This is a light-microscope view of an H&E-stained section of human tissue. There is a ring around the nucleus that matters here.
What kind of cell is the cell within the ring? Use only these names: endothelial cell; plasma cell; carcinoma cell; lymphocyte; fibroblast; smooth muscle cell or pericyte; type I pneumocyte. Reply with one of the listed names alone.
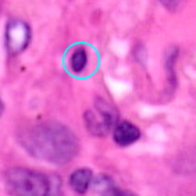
lymphocyte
